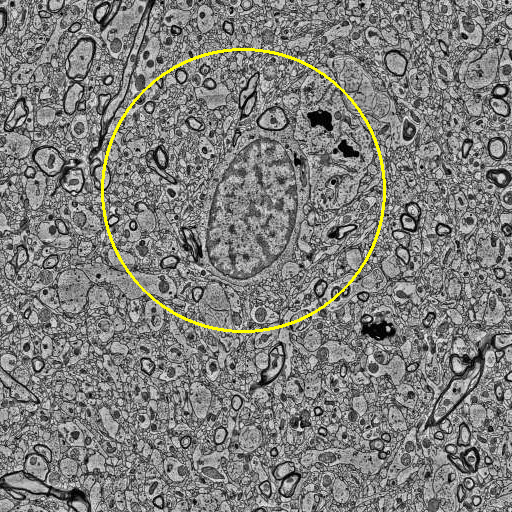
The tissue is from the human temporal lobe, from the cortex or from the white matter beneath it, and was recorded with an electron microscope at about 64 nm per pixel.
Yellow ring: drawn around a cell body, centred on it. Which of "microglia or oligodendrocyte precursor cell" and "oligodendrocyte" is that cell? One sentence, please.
That cell body is from an oligodendrocyte.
